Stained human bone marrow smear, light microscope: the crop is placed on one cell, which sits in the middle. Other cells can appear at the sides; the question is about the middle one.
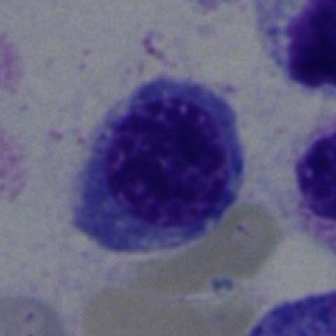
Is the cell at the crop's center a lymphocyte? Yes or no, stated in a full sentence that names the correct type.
No, the central cell is an erythroblast, not a lymphocyte.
